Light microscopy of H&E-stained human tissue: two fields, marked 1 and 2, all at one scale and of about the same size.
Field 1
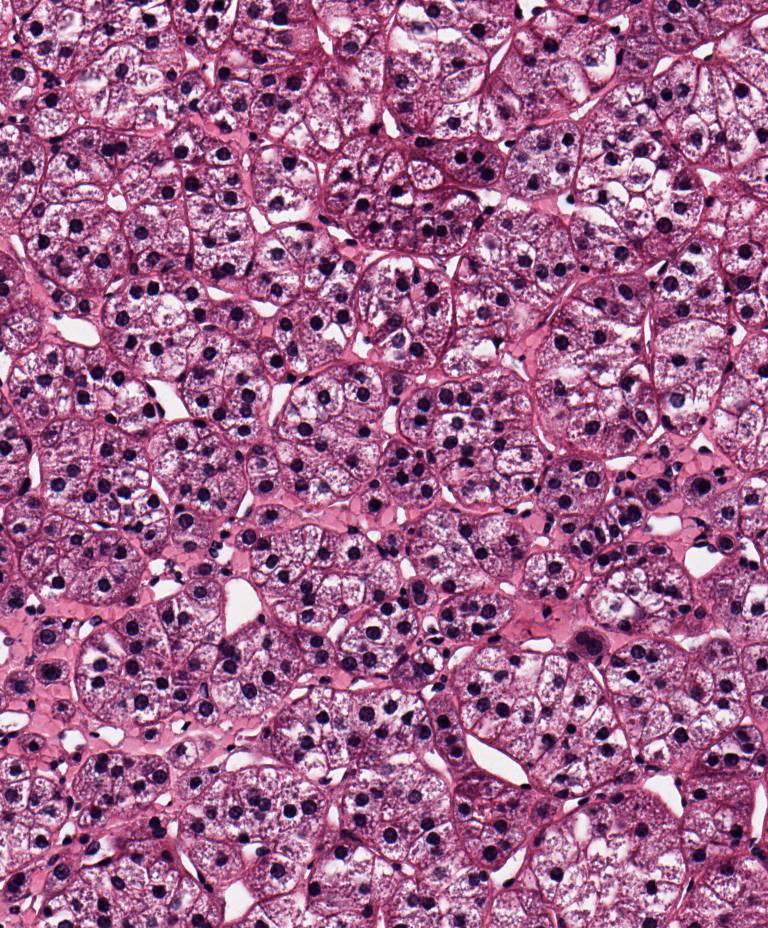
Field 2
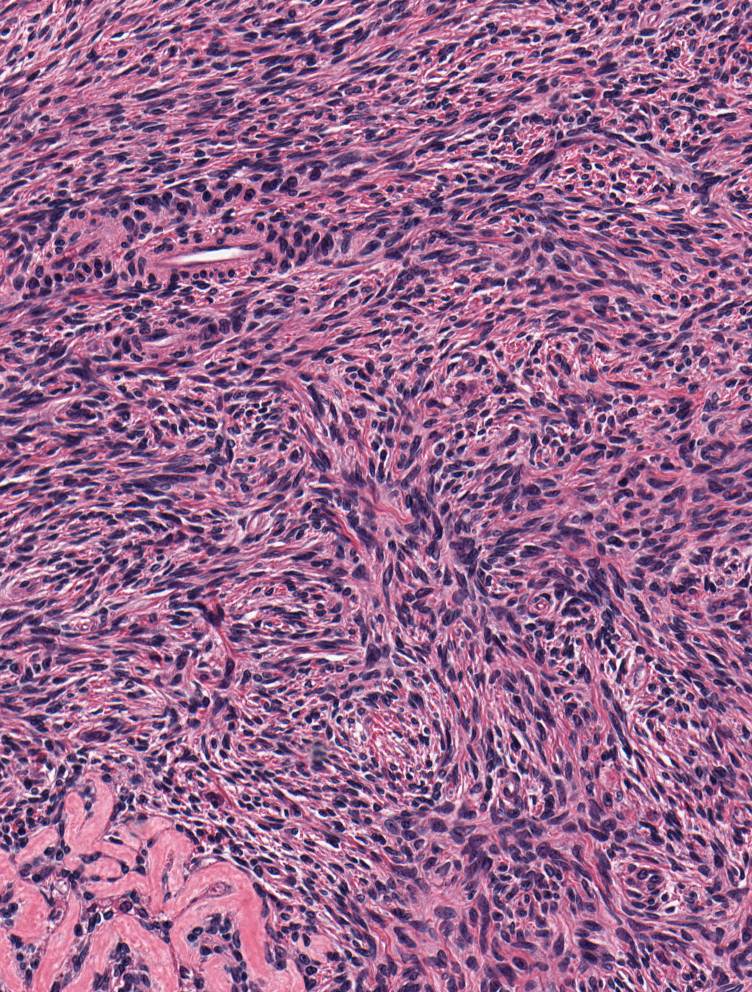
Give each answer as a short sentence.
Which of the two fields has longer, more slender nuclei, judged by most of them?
The nuclei are more elongated in field 2.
